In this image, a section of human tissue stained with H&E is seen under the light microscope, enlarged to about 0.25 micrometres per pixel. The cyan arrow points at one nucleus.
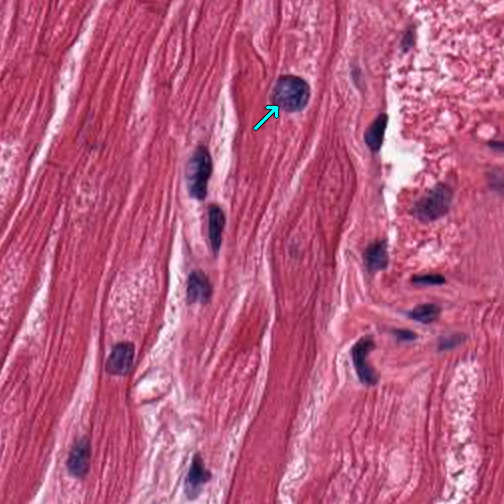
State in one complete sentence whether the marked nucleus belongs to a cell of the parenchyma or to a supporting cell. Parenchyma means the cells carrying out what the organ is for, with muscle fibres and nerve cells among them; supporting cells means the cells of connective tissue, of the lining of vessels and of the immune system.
The marked nucleus lies within a parenchymal cell, which is a cardiomyocyte.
